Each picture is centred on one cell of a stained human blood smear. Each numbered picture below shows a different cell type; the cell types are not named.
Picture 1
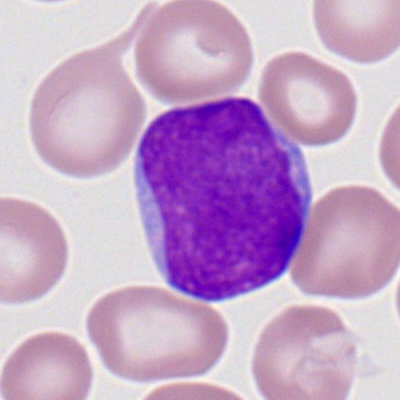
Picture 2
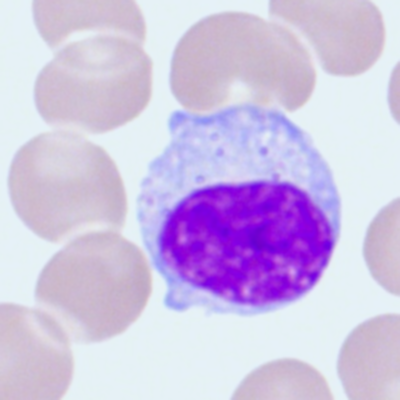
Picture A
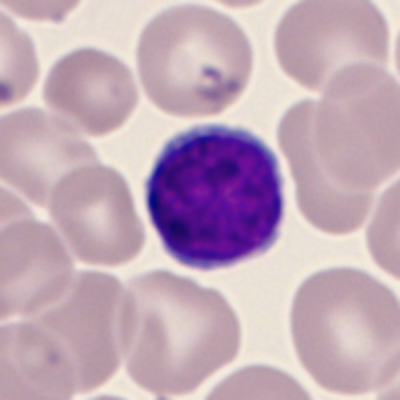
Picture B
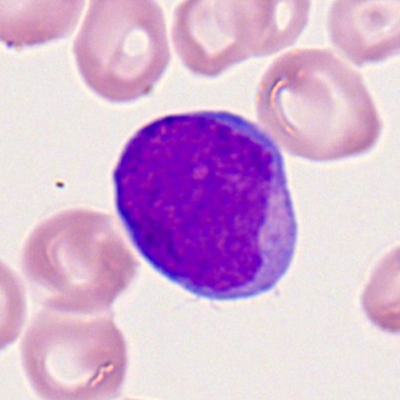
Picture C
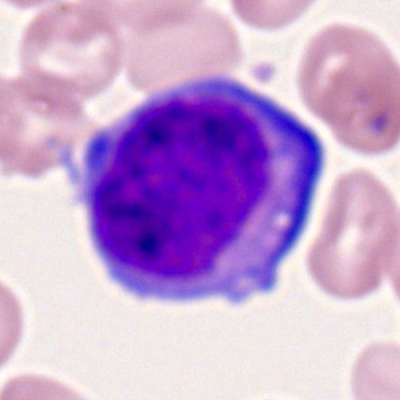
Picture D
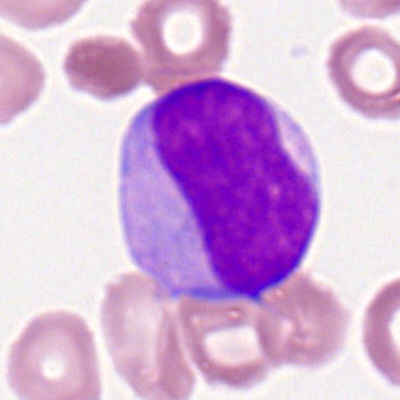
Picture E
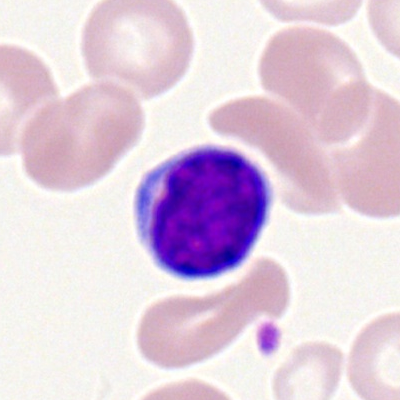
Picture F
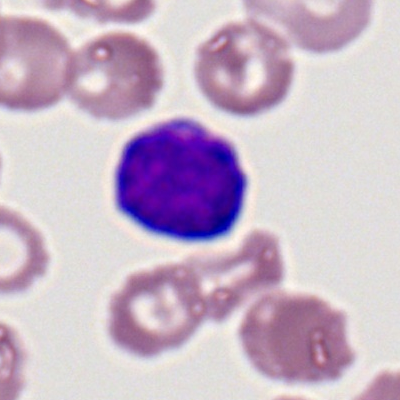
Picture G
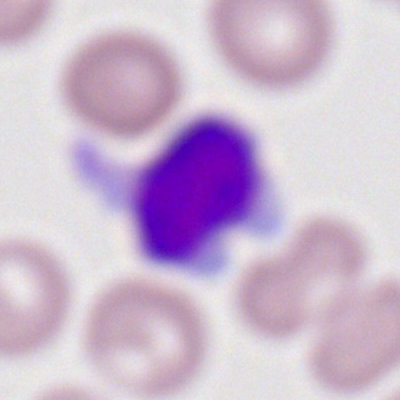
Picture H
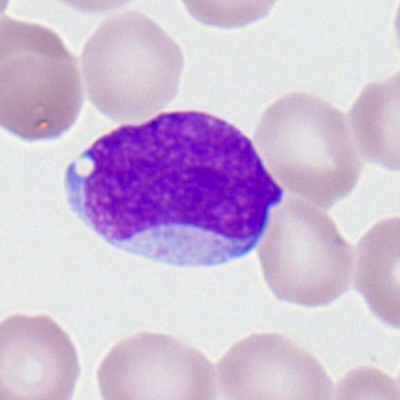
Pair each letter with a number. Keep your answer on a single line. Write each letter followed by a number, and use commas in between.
A 2, B 1, C 1, D 1, E 2, F 2, G 2, H 1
